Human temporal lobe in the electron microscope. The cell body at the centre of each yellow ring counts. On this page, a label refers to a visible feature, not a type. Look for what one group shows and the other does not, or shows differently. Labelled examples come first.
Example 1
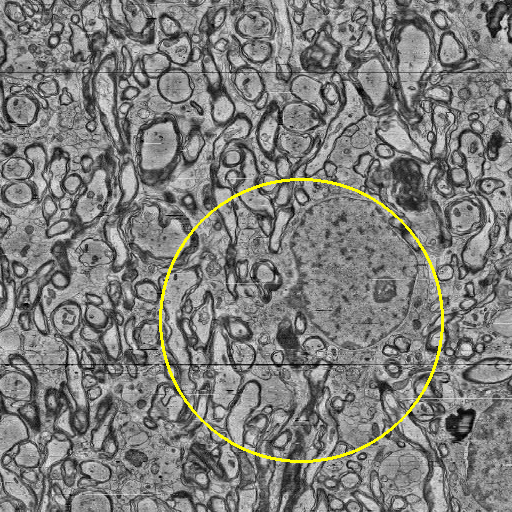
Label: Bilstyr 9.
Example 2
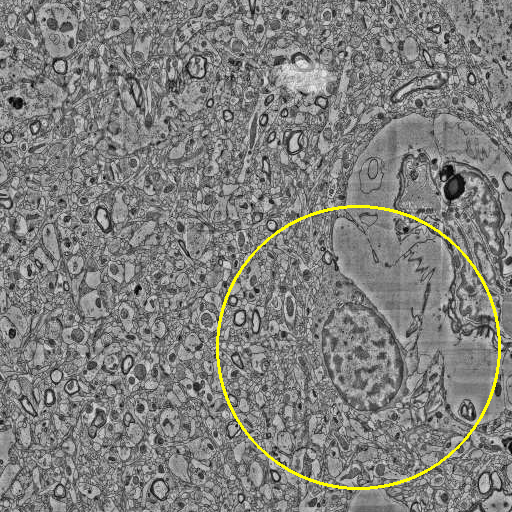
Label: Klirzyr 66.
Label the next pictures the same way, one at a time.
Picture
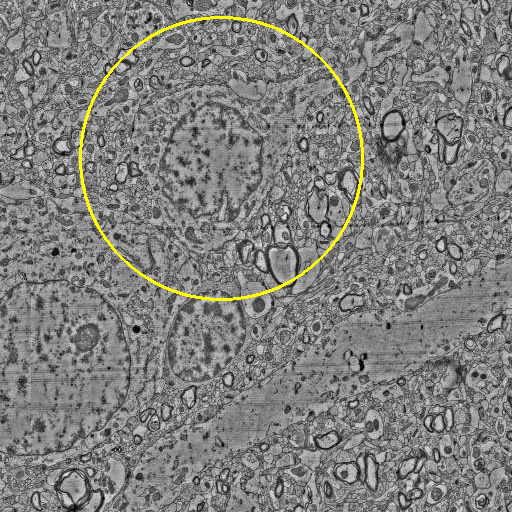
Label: Bilstyr 9.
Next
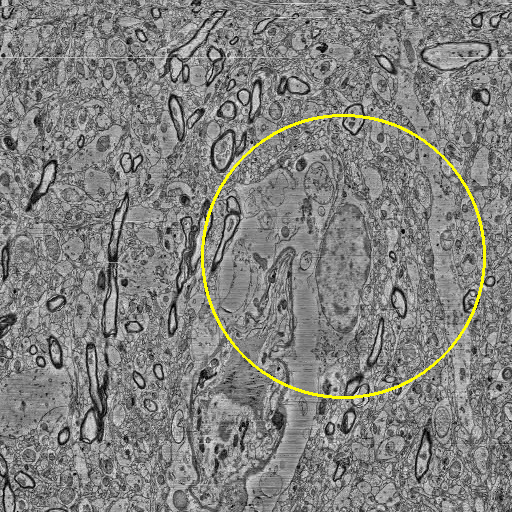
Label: Klirzyr 66.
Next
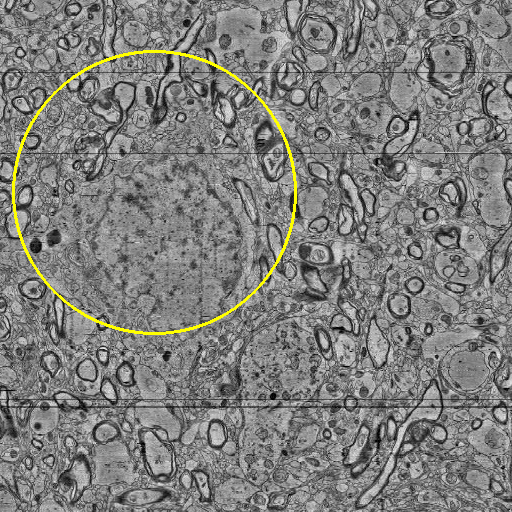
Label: Bilstyr 9.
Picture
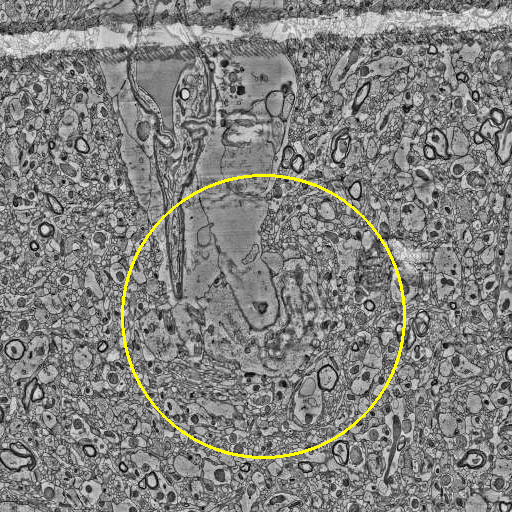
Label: Klirzyr 66.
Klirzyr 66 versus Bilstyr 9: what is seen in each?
Klirzyr 66, clearly elongated nuclei; Bilstyr 9, round or nearly round nuclei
